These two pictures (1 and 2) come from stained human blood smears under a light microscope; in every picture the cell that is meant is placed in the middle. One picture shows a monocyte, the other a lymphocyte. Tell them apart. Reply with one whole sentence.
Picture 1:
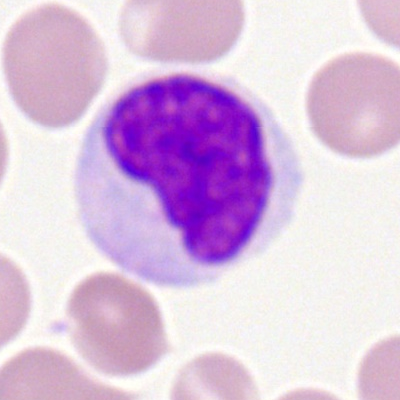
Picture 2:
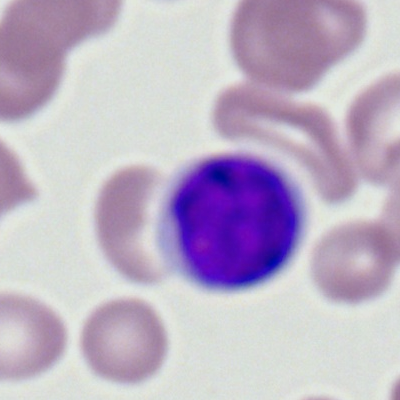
In picture 1 the cell is a monocyte; in picture 2, a lymphocyte.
